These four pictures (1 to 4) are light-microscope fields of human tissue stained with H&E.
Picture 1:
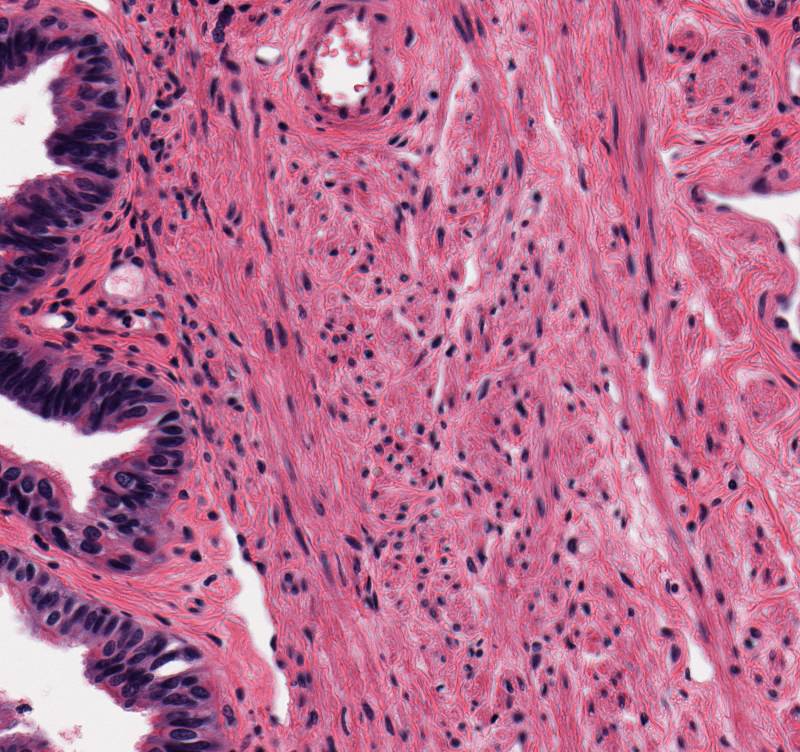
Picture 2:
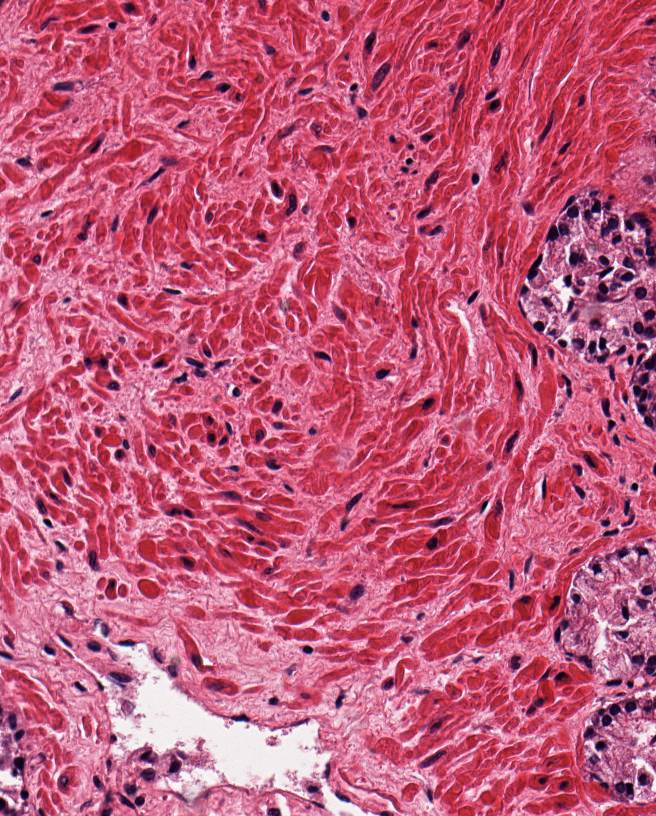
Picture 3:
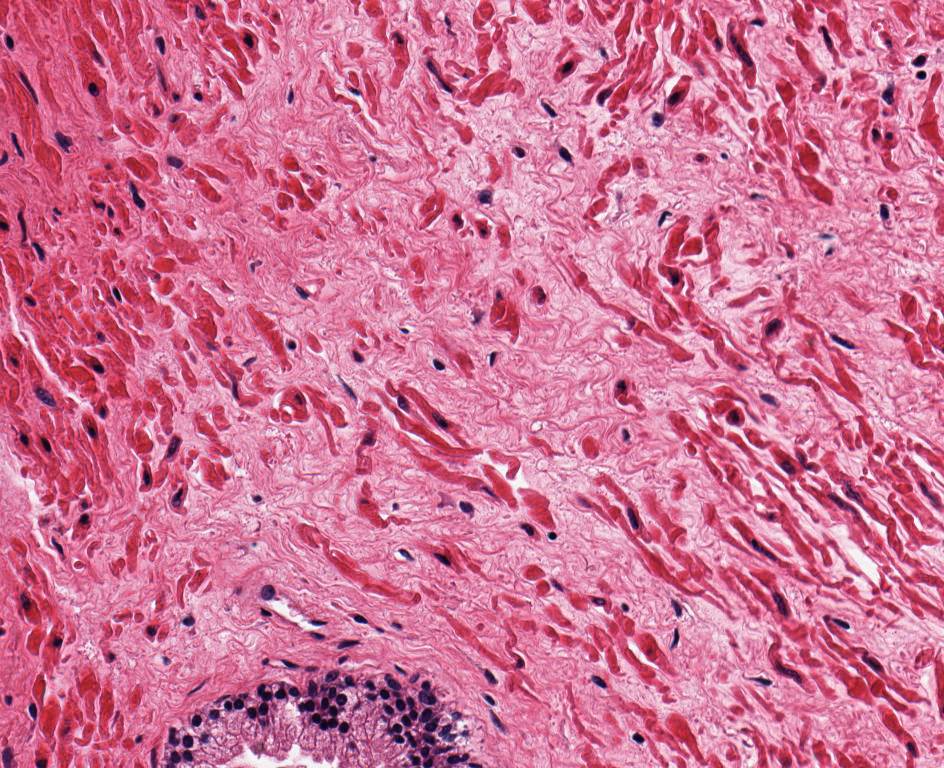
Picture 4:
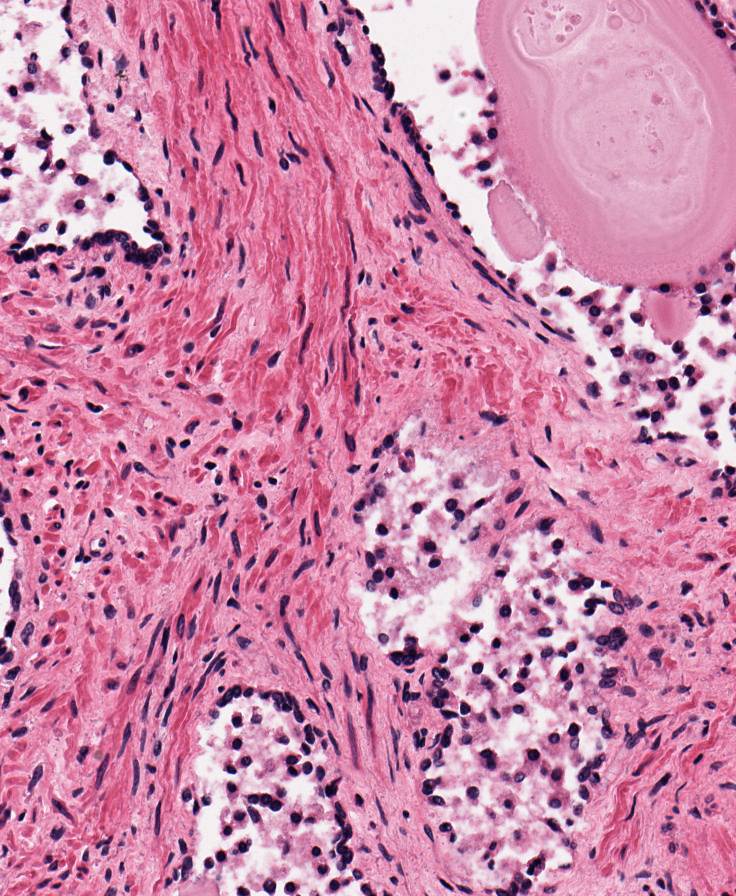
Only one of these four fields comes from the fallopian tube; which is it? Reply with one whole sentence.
Picture 1 is the field that comes from the fallopian tube.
